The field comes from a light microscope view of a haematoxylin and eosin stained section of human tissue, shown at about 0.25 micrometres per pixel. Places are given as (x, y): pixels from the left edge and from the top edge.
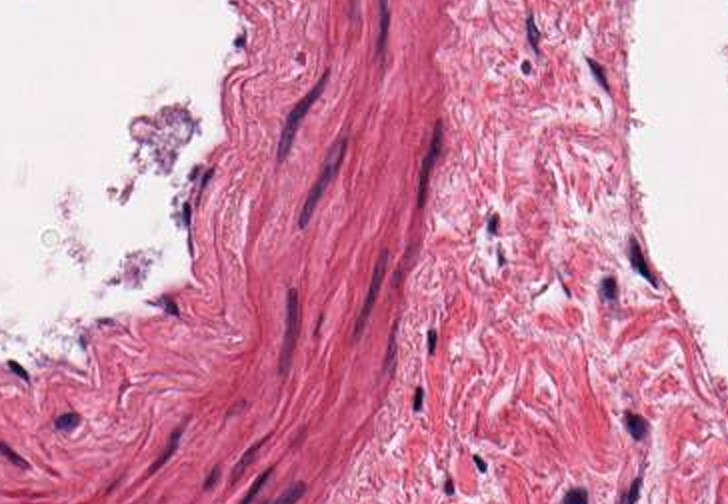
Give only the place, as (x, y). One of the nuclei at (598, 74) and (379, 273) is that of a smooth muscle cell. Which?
(379, 273)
